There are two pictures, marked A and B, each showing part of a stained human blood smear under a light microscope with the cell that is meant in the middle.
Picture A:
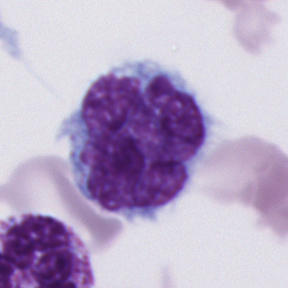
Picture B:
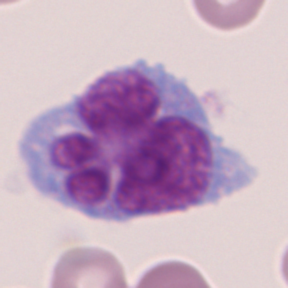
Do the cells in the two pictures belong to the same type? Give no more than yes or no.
yes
